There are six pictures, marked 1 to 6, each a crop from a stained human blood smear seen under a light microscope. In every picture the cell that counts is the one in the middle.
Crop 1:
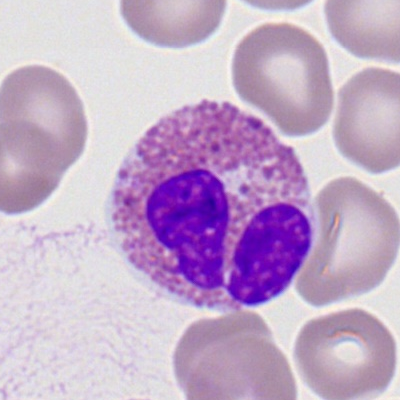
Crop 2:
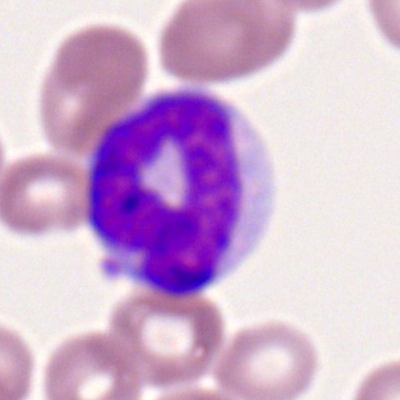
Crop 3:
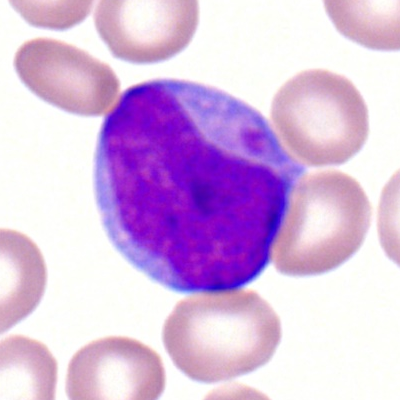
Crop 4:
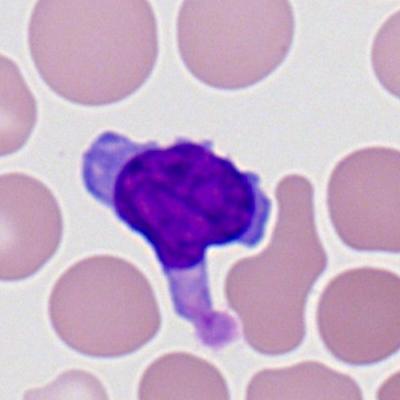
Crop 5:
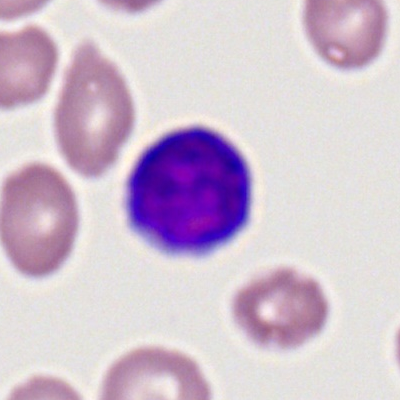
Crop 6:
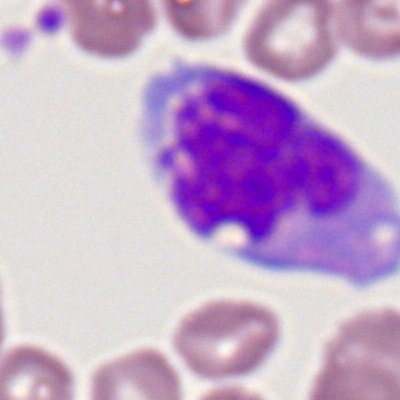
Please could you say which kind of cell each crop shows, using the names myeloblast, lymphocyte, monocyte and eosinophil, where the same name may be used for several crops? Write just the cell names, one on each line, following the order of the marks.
eosinophil
monocyte
myeloblast
lymphocyte
lymphocyte
monocyte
